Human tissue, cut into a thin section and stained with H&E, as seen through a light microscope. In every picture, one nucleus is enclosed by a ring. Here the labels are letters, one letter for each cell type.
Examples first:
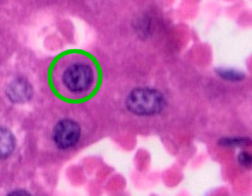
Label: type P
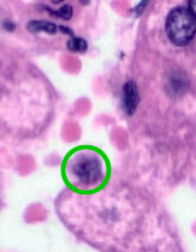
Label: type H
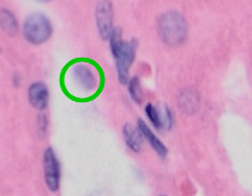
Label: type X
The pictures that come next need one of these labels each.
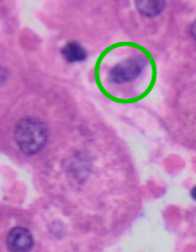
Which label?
type H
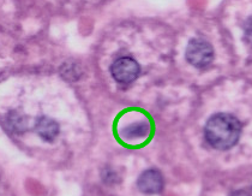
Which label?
type H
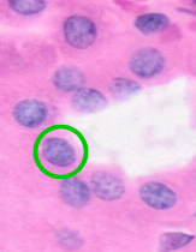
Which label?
type X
